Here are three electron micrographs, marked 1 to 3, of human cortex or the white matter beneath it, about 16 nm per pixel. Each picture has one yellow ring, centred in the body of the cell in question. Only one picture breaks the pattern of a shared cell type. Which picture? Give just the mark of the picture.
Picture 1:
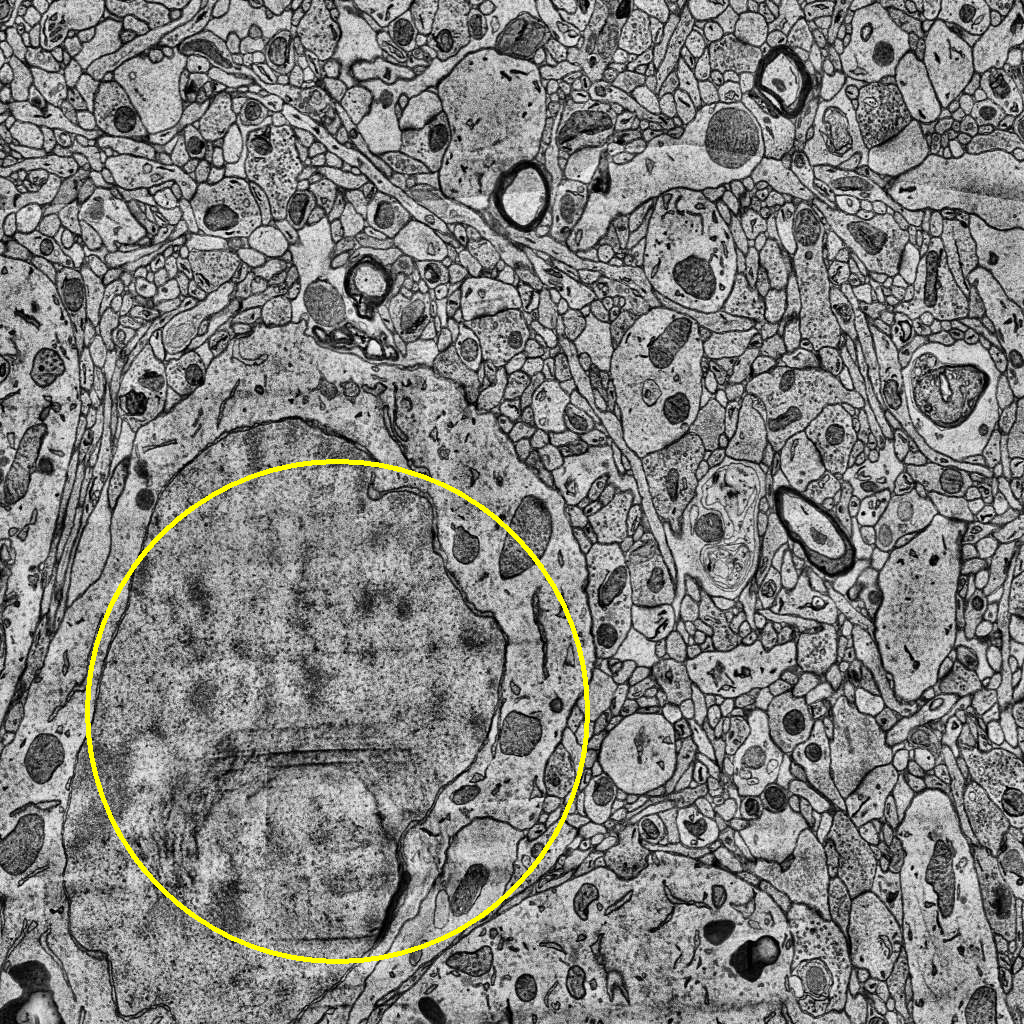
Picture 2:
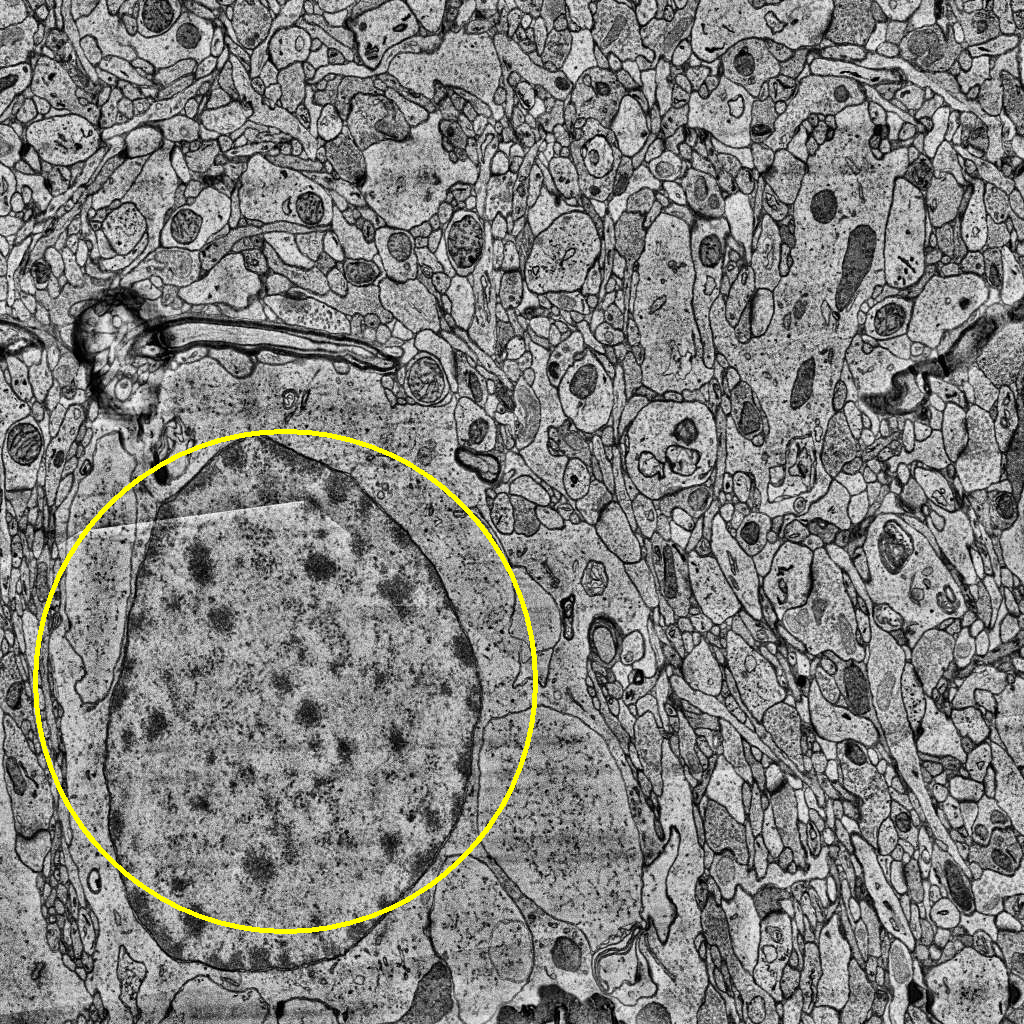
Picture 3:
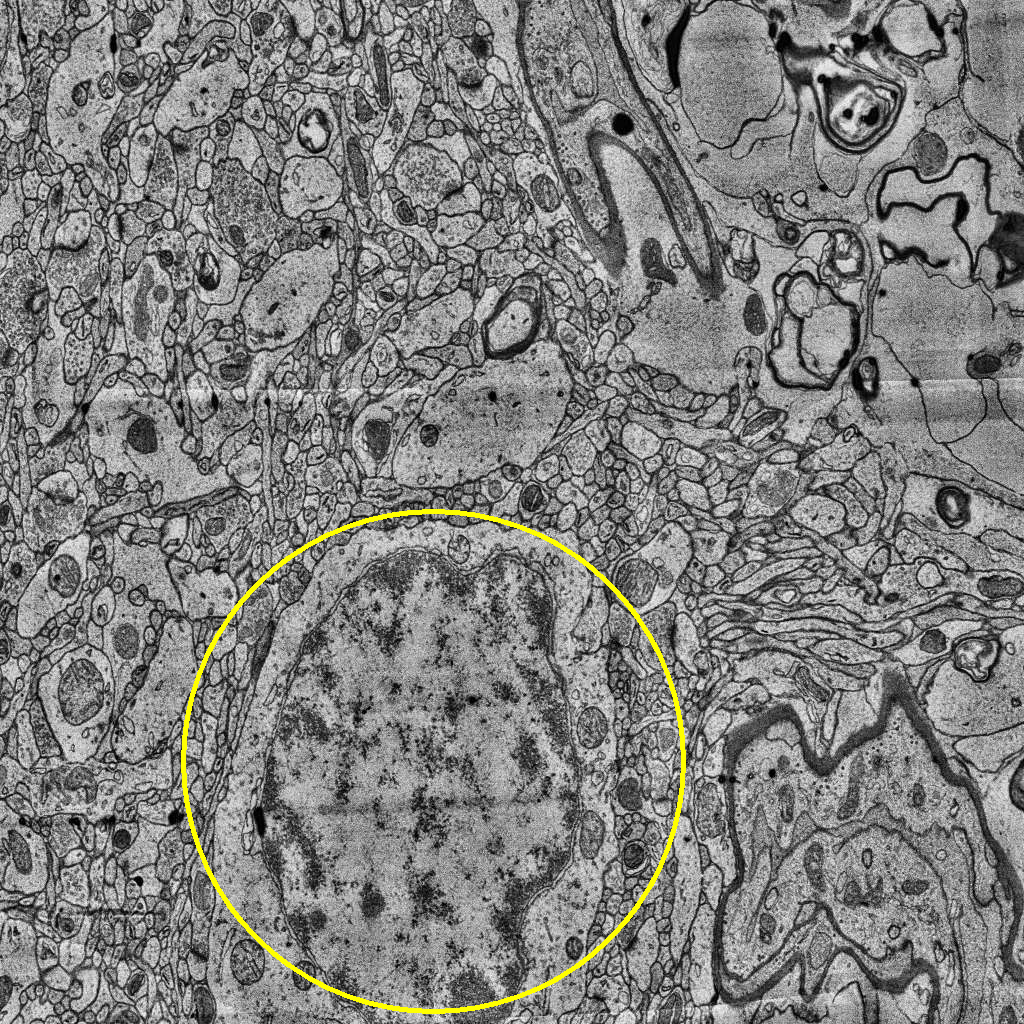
2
